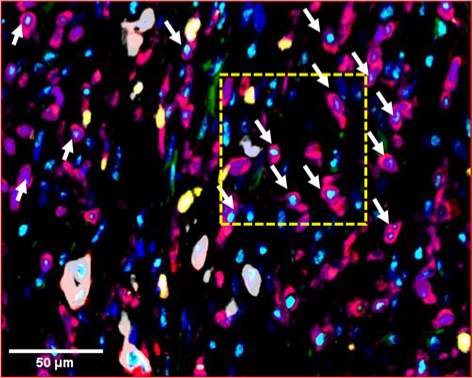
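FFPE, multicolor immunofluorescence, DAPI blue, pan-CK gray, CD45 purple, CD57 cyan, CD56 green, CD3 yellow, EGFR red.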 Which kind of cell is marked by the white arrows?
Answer: Lymphocytes.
